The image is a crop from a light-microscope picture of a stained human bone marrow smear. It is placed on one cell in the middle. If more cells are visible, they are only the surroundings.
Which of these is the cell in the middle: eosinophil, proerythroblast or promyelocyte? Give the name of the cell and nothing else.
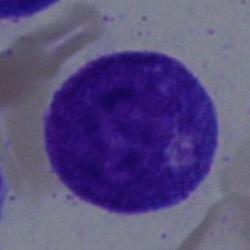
promyelocyte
